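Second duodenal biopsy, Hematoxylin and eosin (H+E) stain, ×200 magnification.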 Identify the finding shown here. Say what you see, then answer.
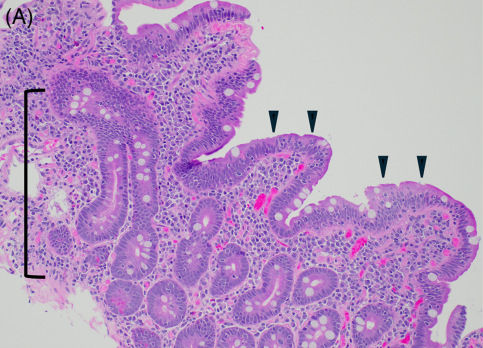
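The surface projections are short and broad rather than tall and slender. The crypt zone is deep relative to the height of the surface projections.
Hence: partial villous blunting.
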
